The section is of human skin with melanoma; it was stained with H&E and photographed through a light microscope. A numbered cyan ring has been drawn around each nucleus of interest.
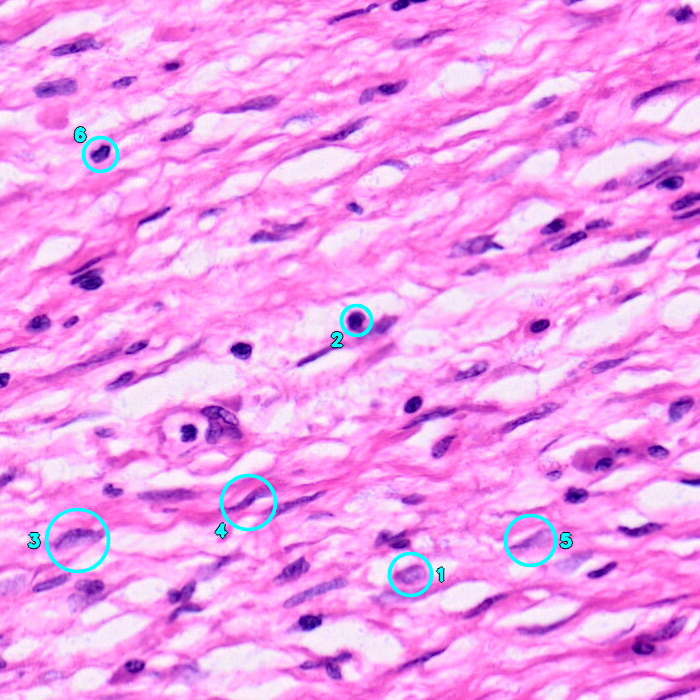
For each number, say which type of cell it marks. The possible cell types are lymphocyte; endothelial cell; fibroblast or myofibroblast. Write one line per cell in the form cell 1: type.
cell 1: fibroblast or myofibroblast
cell 2: lymphocyte
cell 3: fibroblast or myofibroblast
cell 4: fibroblast or myofibroblast
cell 5: fibroblast or myofibroblast
cell 6: lymphocyte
